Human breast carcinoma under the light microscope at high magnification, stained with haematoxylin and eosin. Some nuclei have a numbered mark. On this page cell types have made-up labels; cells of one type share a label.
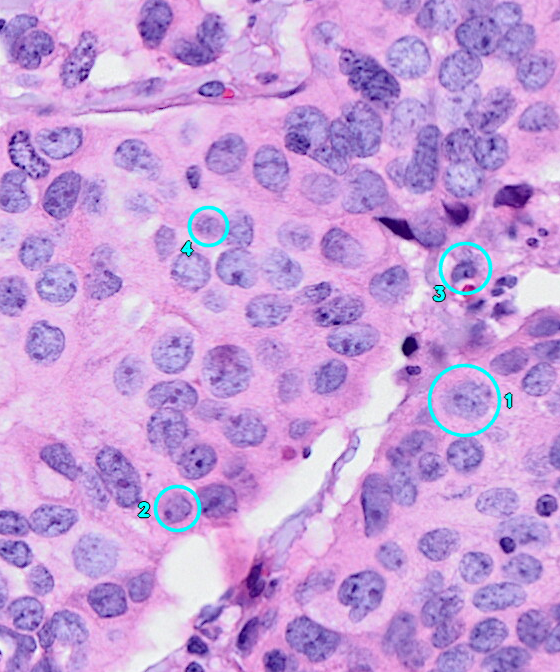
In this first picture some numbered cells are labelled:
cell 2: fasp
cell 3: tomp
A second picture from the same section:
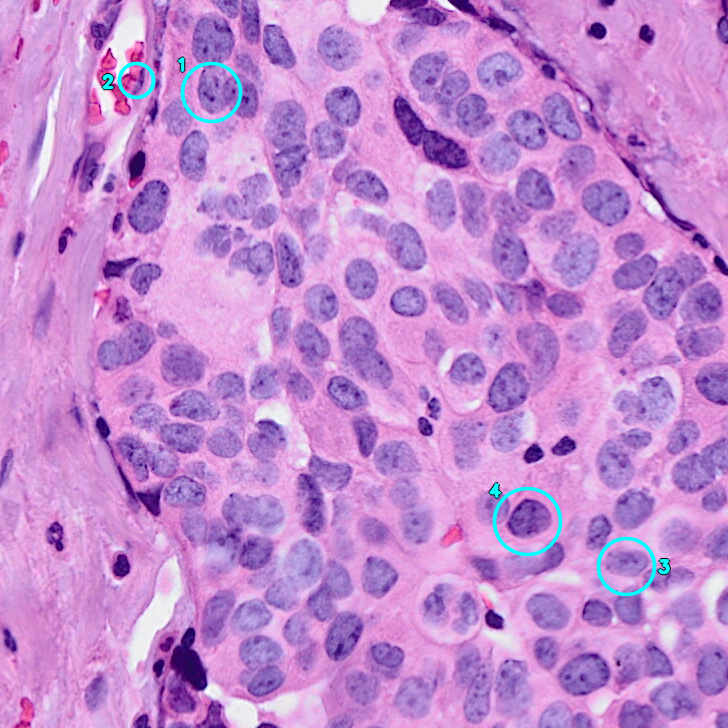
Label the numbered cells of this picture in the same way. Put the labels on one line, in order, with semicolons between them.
fasp; tomp; fasp; fasp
